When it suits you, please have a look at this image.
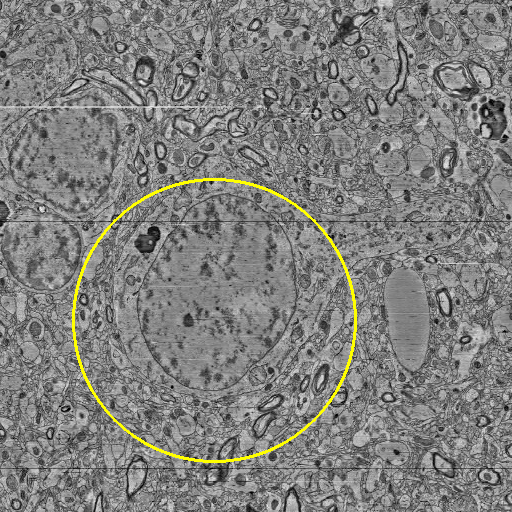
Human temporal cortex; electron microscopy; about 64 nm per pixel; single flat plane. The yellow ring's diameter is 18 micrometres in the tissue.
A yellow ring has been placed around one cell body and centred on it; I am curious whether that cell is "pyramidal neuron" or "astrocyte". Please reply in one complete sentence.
The ringed cell, a pyramidal neuron, has its body at the centre of the yellow ring.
